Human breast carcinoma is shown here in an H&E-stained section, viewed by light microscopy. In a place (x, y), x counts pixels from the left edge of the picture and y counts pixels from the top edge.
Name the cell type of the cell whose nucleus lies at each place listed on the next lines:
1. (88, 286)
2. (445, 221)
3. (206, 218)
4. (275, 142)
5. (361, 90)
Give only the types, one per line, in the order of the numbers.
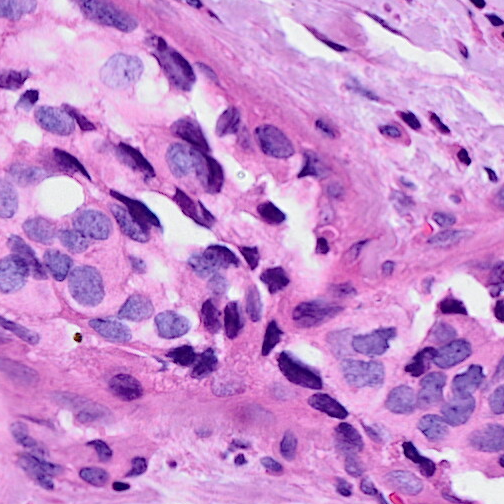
carcinoma cell
endothelial cell
carcinoma cell
carcinoma cell
fibroblast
